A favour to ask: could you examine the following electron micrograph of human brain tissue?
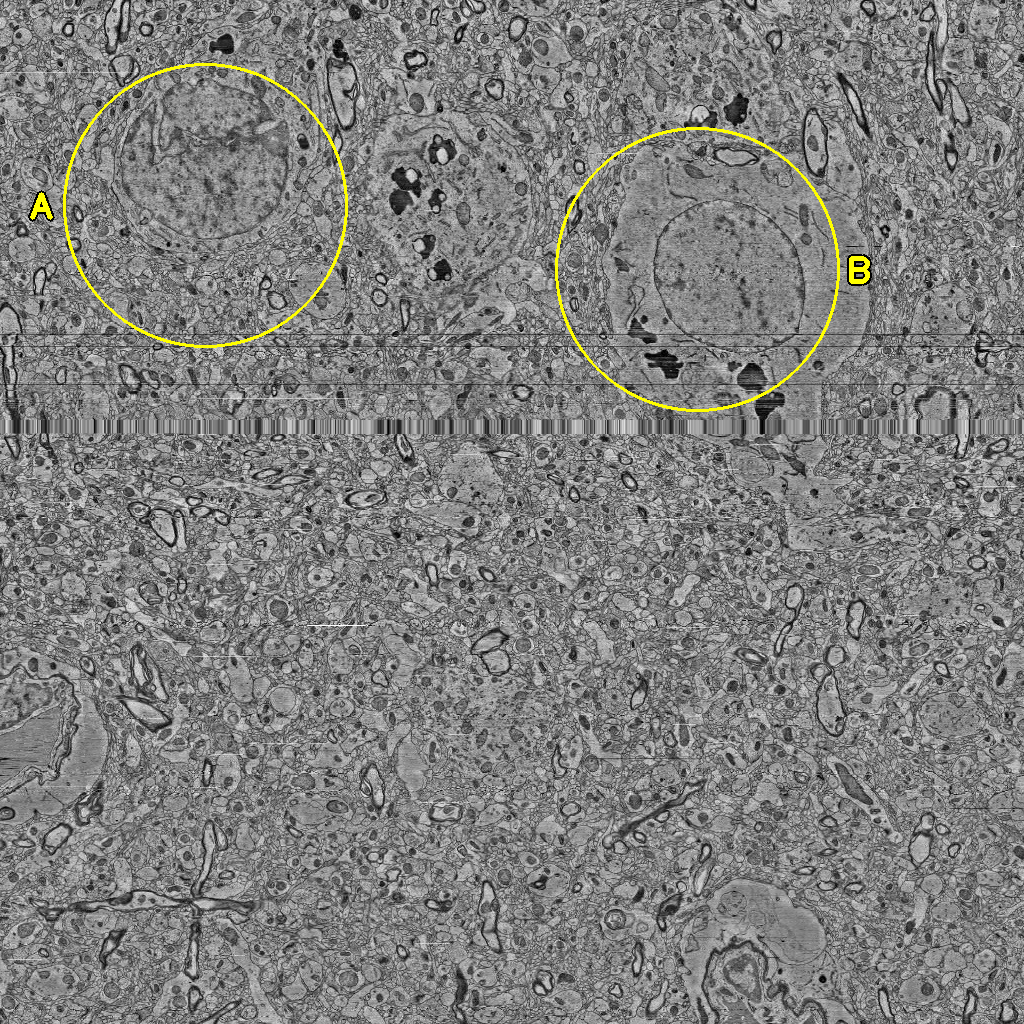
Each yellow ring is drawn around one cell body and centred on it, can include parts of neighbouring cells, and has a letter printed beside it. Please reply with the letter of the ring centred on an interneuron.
A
